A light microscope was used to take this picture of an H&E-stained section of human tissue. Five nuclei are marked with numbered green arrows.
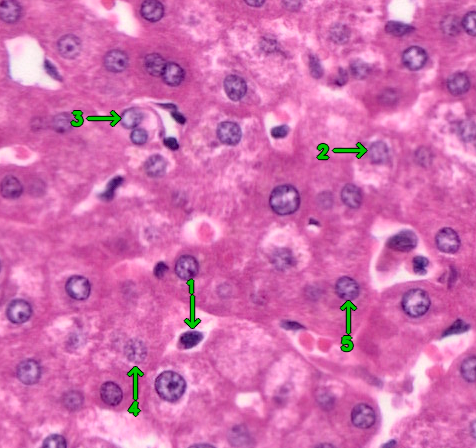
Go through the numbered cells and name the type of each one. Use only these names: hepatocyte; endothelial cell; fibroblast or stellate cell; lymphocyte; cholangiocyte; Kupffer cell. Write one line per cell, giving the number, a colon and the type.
1: lymphocyte
2: hepatocyte
3: cholangiocyte
4: hepatocyte
5: hepatocyte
